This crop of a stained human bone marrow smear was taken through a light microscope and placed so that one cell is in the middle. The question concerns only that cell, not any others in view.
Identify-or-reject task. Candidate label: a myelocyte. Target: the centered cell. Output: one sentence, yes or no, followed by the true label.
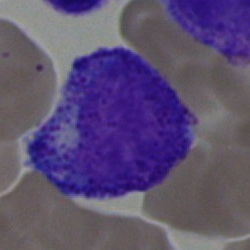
No, the label for the central cell is a promyelocyte, not a myelocyte.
